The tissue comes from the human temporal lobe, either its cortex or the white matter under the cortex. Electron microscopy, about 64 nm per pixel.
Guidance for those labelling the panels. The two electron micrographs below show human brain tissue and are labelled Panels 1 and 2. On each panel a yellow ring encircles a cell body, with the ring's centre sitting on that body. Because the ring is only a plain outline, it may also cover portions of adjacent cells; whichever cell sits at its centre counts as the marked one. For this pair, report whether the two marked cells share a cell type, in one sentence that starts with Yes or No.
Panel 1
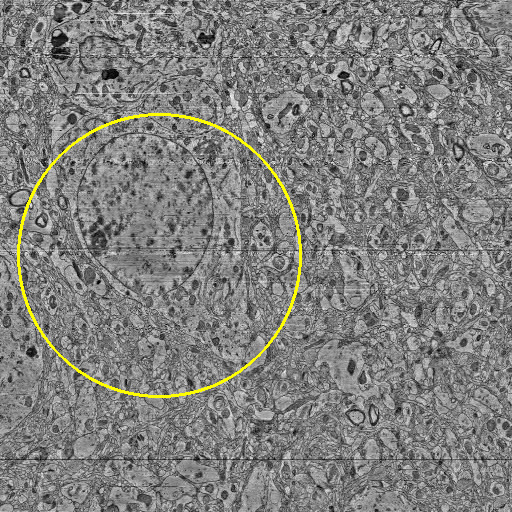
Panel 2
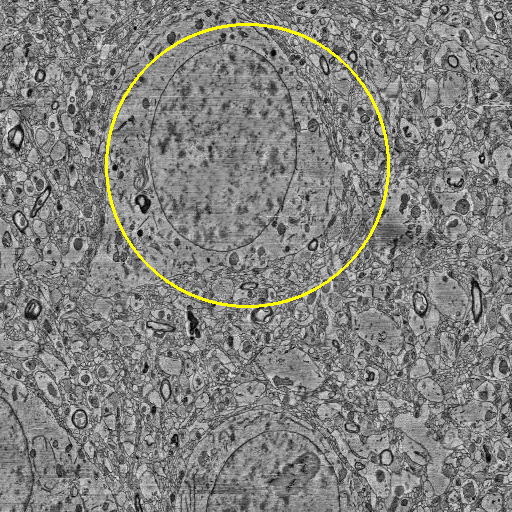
Yes, in Panel 1 and Panel 2 the marked cells at the ring centres share one type.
